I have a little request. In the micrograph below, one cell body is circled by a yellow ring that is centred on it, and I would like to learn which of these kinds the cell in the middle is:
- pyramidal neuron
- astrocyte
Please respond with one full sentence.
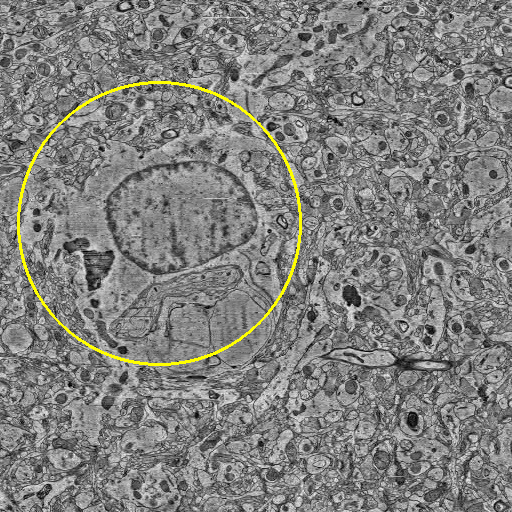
The cell sitting in the middle of the yellow ring in the micrograph is an astrocyte.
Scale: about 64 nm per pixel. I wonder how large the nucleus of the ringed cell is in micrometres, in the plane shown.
About 9 by 8 micrometers for the nucleus, in this plane.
